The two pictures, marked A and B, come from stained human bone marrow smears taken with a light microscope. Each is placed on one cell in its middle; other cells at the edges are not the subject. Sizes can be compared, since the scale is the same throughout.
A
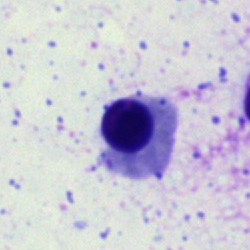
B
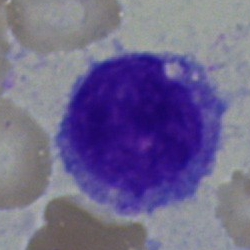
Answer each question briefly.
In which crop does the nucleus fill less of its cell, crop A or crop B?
A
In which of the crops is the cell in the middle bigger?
B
